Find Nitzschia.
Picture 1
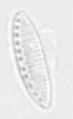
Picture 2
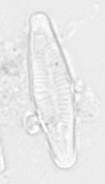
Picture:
1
